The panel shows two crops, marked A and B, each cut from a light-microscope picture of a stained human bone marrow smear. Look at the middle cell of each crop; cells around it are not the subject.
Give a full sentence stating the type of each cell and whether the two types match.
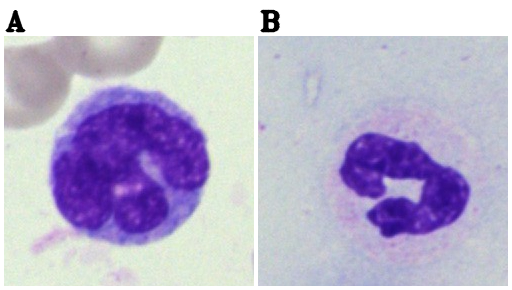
No, just to correct that: crop A shows a monocyte, crop B shows a segmented neutrophil.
